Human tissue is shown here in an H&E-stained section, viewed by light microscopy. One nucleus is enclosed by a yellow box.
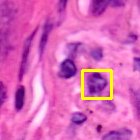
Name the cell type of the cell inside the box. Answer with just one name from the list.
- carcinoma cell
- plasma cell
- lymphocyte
plasma cell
